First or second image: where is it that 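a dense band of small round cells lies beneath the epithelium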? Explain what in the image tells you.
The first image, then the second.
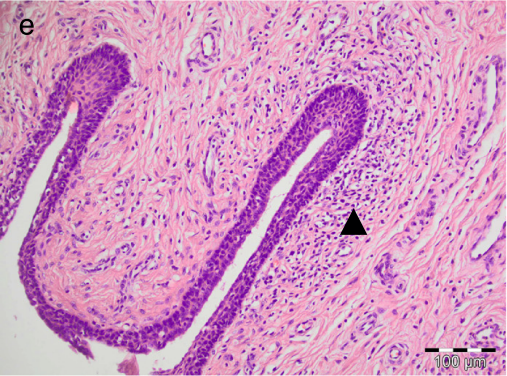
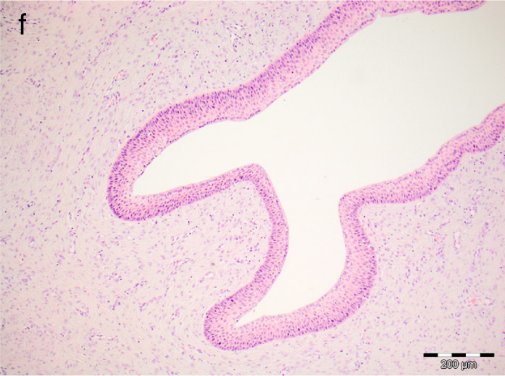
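Second image: the stroma beneath the epithelium is loose and sparsely cellular. First image: small dark round nuclei crowd the stroma just beneath the epithelium.
Answer: the first image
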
